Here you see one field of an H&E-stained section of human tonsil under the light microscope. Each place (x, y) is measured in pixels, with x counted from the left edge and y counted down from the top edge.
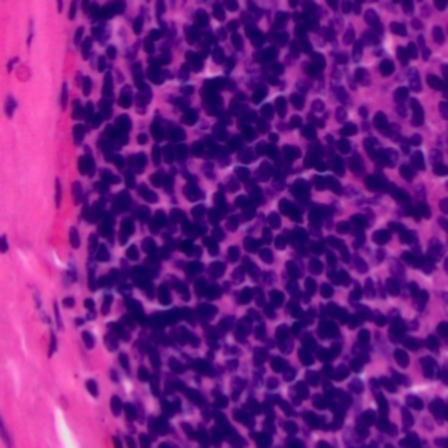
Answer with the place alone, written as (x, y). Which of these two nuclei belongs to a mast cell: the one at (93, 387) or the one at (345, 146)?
(93, 387)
